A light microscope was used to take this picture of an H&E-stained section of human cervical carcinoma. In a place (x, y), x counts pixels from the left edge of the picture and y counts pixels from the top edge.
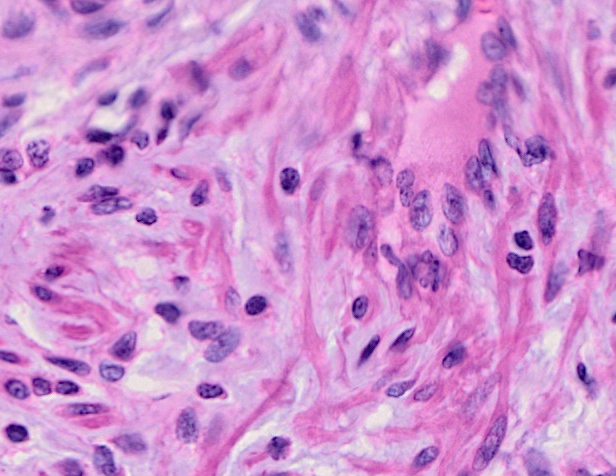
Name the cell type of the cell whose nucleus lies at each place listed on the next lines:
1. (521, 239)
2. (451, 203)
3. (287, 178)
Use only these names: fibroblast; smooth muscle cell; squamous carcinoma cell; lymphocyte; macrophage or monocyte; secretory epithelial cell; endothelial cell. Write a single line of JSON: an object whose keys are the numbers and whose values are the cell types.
{"1": "lymphocyte", "2": "endothelial cell", "3": "lymphocyte"}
